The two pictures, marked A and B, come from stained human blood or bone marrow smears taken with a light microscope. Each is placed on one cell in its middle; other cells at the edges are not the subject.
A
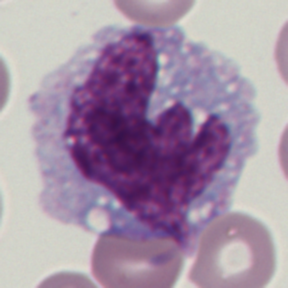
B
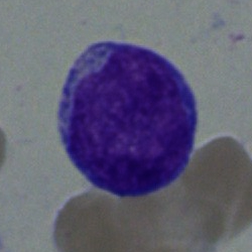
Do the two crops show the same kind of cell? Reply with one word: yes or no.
no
